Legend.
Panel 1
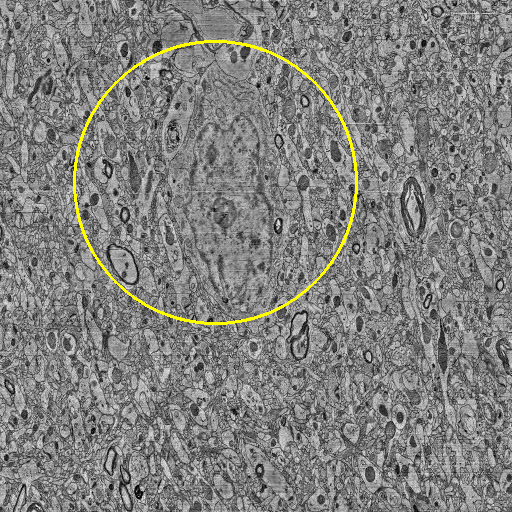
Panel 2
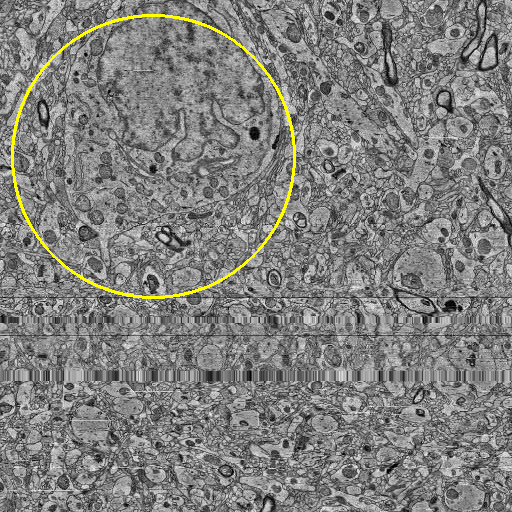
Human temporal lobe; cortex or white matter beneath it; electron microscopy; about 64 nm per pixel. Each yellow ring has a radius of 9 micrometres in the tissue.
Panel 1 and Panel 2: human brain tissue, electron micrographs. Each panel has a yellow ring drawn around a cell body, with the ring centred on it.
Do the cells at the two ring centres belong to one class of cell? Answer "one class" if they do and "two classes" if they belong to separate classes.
one class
